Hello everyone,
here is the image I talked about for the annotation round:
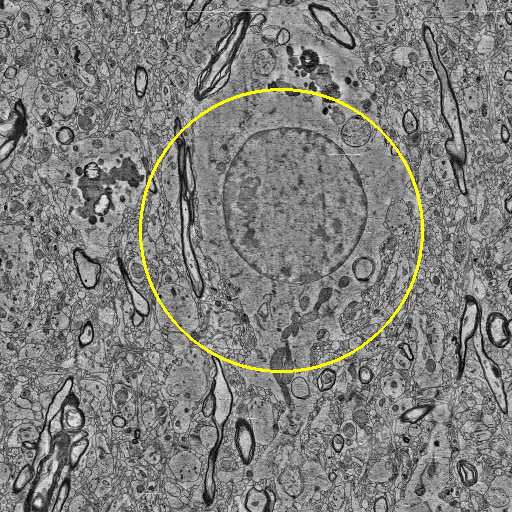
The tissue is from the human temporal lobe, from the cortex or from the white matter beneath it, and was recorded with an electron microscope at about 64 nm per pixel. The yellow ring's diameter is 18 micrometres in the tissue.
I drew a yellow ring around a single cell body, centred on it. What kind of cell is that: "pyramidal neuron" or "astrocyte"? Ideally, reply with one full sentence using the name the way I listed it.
The cell your yellow ring is centred on is an astrocyte, going by your list.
